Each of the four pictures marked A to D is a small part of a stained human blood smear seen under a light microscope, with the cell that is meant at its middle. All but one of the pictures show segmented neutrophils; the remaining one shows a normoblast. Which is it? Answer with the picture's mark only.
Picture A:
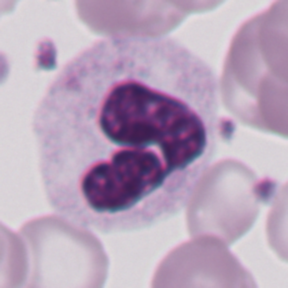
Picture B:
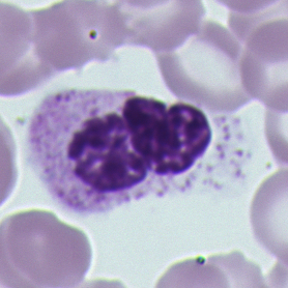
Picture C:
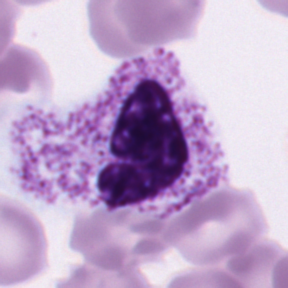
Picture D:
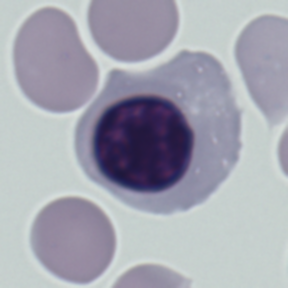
D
